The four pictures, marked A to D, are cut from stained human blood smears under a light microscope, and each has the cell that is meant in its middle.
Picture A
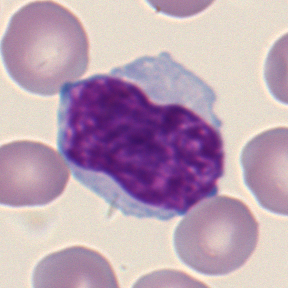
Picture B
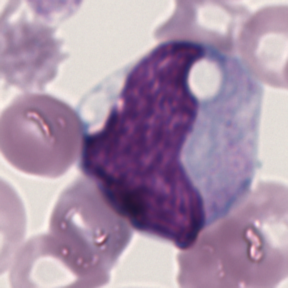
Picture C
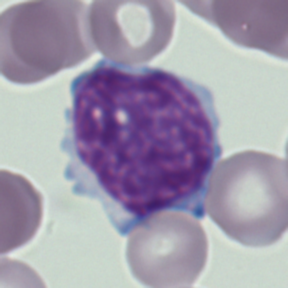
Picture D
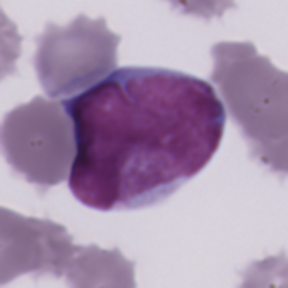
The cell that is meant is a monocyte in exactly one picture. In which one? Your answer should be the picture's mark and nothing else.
B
